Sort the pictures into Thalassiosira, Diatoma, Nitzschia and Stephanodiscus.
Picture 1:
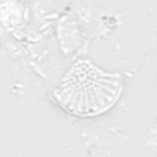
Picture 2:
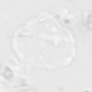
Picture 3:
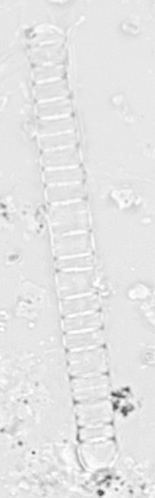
Stephanodiscus: 1
Thalassiosira: 2
Diatoma: 3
